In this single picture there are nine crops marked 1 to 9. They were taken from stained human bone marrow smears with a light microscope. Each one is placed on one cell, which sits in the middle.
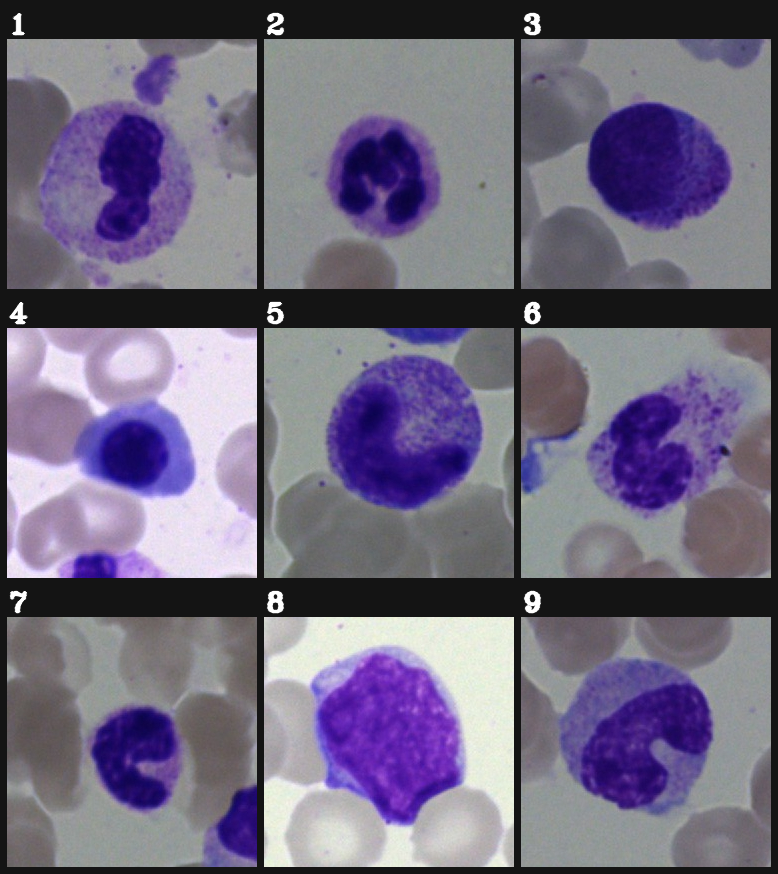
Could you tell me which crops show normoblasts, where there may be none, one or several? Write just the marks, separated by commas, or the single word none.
4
